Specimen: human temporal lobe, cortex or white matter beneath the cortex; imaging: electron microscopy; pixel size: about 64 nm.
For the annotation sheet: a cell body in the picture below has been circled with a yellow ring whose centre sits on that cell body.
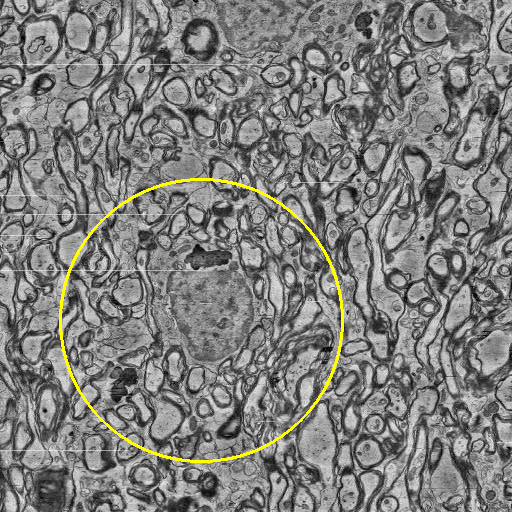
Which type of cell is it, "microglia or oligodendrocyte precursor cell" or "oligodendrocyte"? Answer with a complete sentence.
The circled cell is an oligodendrocyte.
